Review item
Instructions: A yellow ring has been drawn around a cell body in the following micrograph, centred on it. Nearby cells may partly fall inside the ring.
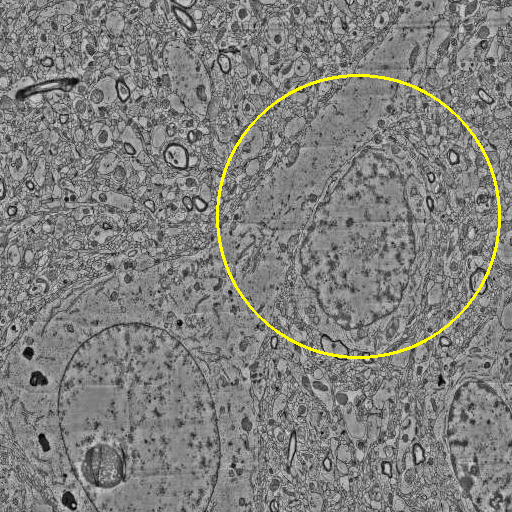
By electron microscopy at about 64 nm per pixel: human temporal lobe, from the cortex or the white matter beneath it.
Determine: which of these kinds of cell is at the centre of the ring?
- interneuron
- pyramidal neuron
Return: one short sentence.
The cell body in the middle of the ring is that of an interneuron.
